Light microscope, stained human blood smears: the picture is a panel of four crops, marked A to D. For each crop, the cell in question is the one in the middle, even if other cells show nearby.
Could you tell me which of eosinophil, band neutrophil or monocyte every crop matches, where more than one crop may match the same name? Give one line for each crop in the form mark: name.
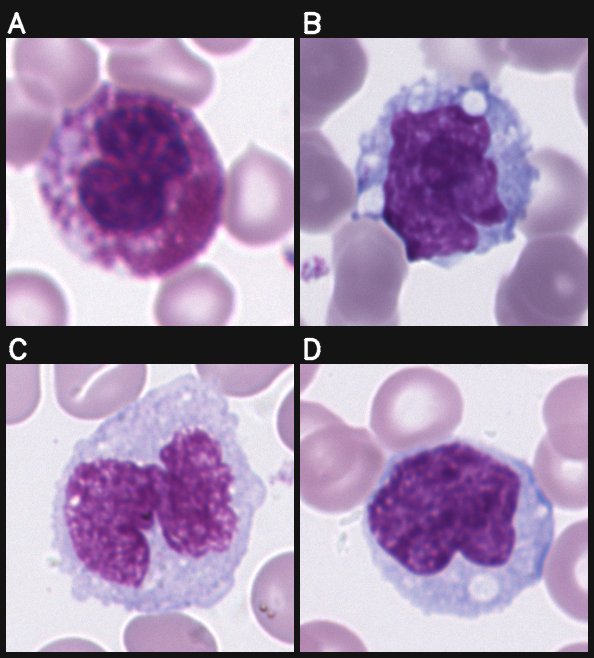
A: eosinophil
B: monocyte
C: monocyte
D: monocyte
